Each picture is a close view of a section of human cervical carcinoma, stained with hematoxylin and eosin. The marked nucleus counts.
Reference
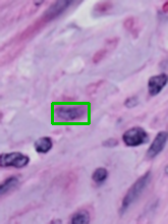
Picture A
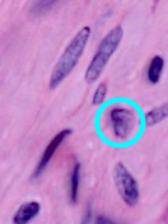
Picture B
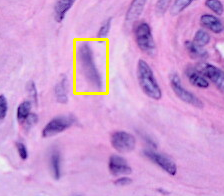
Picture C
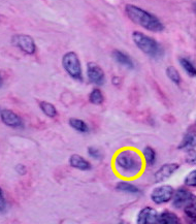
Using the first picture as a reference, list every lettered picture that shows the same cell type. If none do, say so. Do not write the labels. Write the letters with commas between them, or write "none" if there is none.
C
